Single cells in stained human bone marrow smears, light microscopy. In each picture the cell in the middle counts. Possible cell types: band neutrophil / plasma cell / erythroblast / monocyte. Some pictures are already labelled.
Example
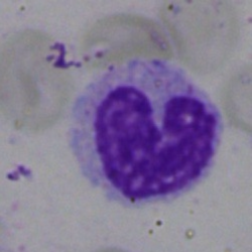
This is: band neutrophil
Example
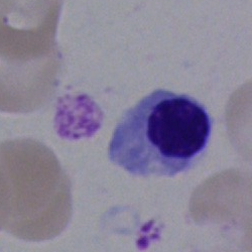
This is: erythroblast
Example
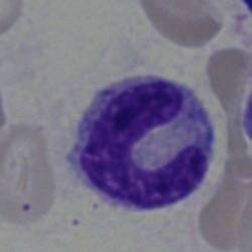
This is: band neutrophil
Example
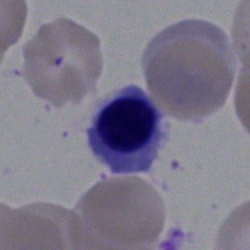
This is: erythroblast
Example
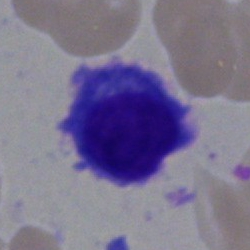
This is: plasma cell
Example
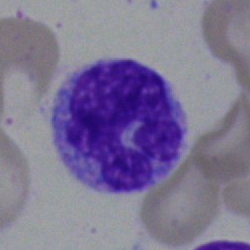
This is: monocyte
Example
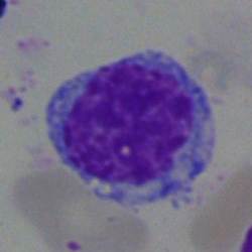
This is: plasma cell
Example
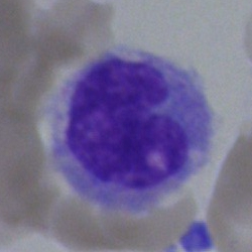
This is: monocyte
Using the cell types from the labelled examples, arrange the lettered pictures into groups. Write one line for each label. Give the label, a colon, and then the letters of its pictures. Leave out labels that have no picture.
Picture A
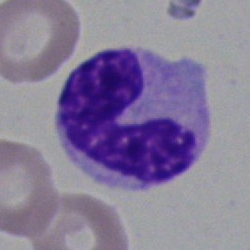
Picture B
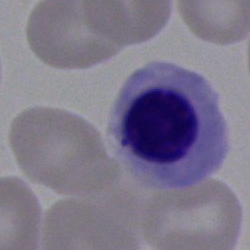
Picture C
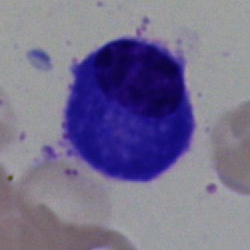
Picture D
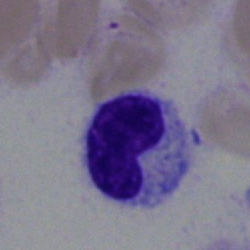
band neutrophil: A, D
plasma cell: C
erythroblast: B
